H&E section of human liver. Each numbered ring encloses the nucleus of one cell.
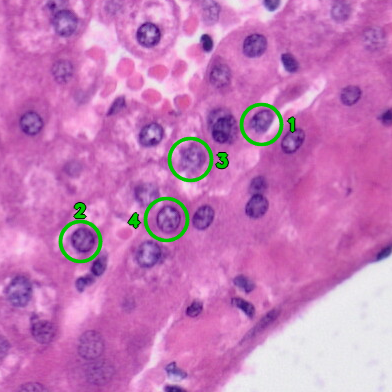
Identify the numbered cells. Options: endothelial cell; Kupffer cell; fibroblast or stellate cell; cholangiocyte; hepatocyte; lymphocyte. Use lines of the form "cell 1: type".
cell 1: Kupffer cell
cell 2: hepatocyte
cell 3: hepatocyte
cell 4: hepatocyte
